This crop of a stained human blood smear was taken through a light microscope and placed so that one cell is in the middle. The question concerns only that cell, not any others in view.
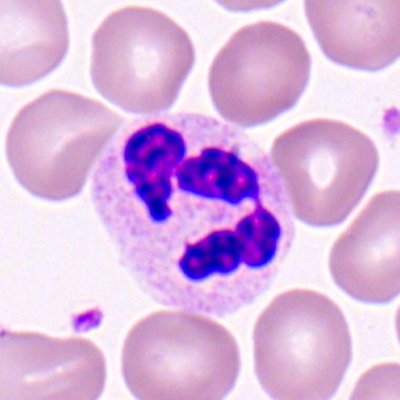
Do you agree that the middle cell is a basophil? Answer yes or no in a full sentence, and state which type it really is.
No, the cell at the centre is categorised not as a basophil but as a neutrophil.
